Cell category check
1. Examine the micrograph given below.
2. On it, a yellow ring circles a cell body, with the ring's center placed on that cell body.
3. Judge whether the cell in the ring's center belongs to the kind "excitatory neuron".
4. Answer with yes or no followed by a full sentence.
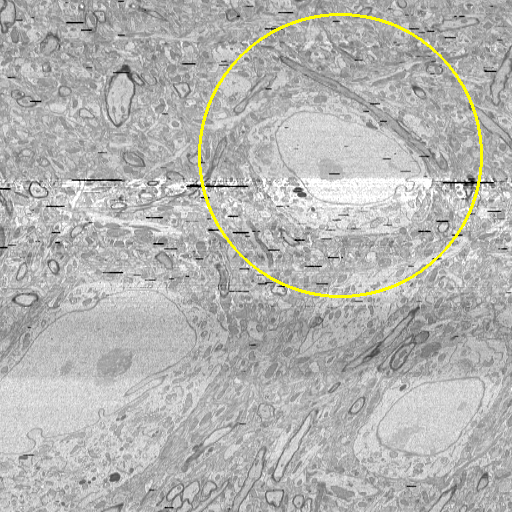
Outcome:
Yes, the cell at the center of the yellow ring belongs to that kind.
